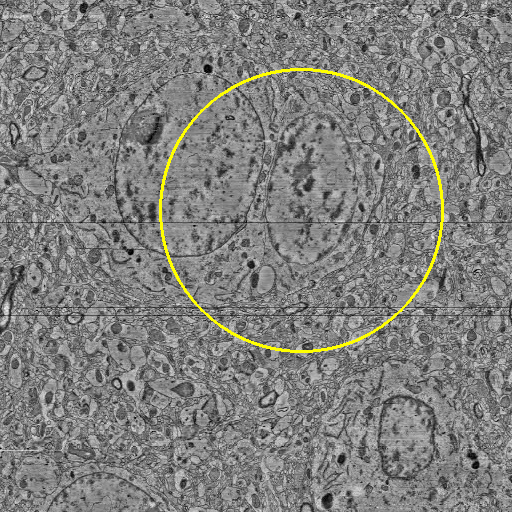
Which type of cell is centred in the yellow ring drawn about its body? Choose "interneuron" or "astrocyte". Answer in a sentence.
The yellow ring surrounds the cell body of an interneuron.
